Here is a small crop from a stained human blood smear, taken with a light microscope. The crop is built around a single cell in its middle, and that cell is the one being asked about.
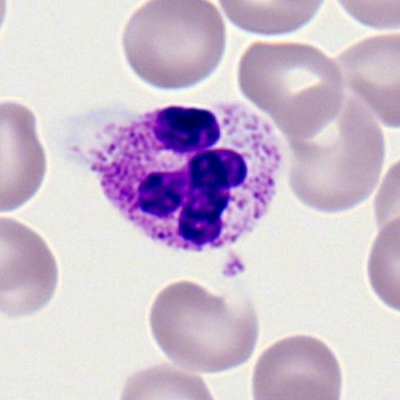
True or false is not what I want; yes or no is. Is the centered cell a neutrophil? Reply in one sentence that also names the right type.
Yes, the cell in the center of this crop is a neutrophil.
